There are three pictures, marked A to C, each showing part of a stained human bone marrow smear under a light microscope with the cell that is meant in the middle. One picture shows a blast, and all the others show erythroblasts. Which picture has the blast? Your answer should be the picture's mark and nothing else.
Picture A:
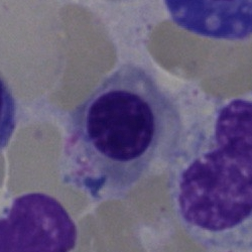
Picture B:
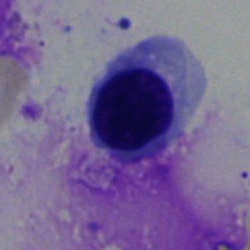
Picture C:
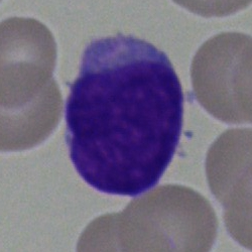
C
